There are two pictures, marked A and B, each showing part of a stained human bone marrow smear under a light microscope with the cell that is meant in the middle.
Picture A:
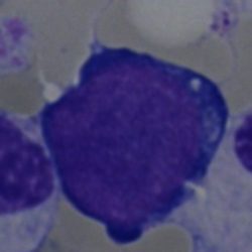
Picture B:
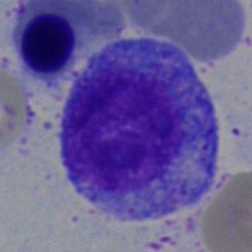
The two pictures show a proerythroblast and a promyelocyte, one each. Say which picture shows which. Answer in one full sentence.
Picture A is of a proerythroblast, and picture B is of a promyelocyte.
